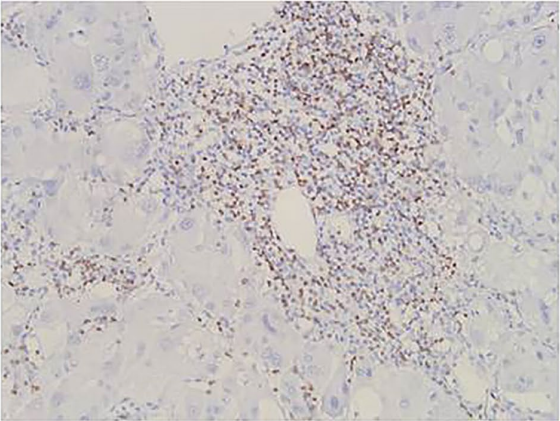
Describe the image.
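A dense infiltrate of small round cells surrounds a vessel and lies between large polygonal cells with abundant pale cytoplasm and round nuclei. Many of the small round cells have brown-stained cytoplasm. Fewer stained cells extend in thin rows between the large cells.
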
